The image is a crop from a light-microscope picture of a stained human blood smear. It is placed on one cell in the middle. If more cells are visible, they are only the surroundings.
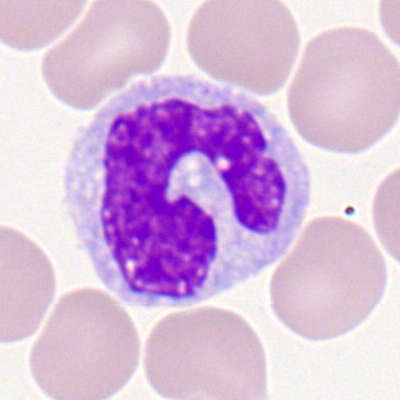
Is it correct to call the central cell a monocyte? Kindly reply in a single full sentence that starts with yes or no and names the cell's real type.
Yes, the cell in the central position is a monocyte.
